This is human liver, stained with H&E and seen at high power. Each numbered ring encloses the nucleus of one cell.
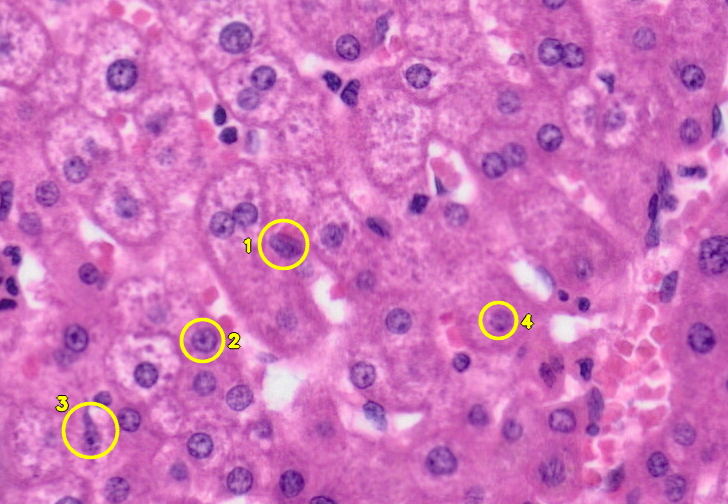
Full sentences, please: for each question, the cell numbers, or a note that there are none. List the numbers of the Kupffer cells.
Only the cell marked 3 is a Kupffer cell.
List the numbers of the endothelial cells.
The cell labelled 1 is an endothelial cell, while the remaining numbered cells are not.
